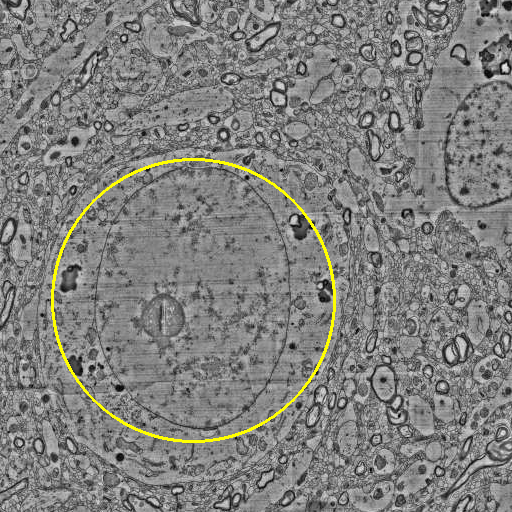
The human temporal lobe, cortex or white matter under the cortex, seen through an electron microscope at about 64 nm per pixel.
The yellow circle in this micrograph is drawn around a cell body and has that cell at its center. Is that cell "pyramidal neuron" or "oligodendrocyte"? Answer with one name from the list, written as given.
pyramidal neuron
